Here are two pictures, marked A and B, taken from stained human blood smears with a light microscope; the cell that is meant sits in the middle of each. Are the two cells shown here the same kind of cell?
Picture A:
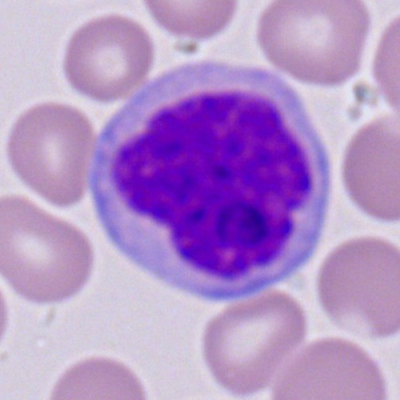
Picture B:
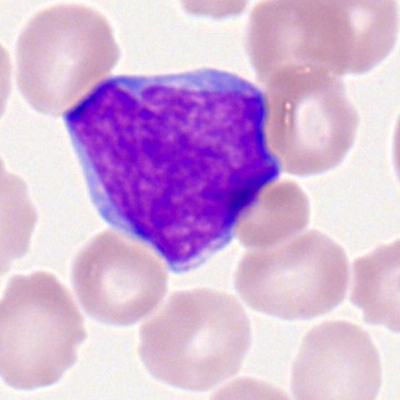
no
